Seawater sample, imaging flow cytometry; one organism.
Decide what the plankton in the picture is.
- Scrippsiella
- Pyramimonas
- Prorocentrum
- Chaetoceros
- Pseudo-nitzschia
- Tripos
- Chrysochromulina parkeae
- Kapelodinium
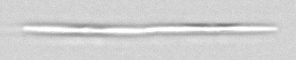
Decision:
Pseudo-nitzschia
